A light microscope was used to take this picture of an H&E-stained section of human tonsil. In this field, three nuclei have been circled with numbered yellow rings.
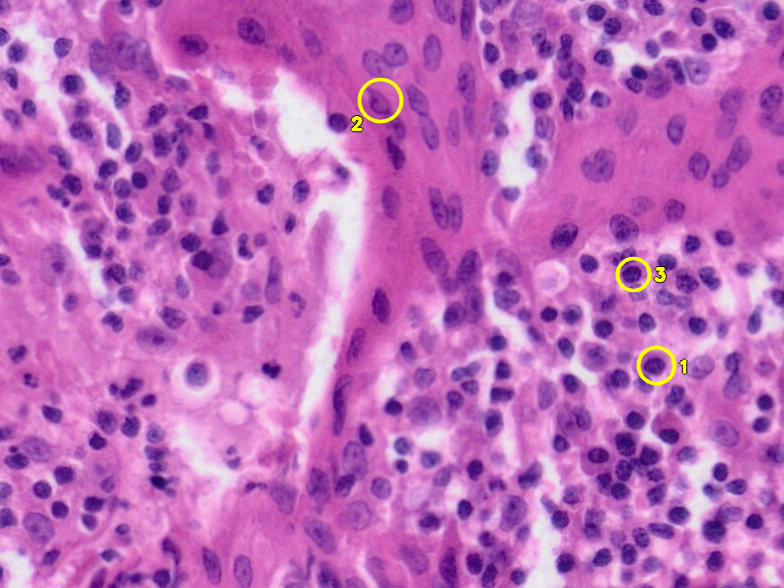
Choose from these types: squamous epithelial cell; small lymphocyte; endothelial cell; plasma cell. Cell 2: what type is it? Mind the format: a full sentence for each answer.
Identified by the number 2, the cell is a squamous epithelial cell.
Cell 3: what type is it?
The cell numbered 3 represents a plasma cell.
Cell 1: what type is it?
Cell 1 is classified as a plasma cell.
